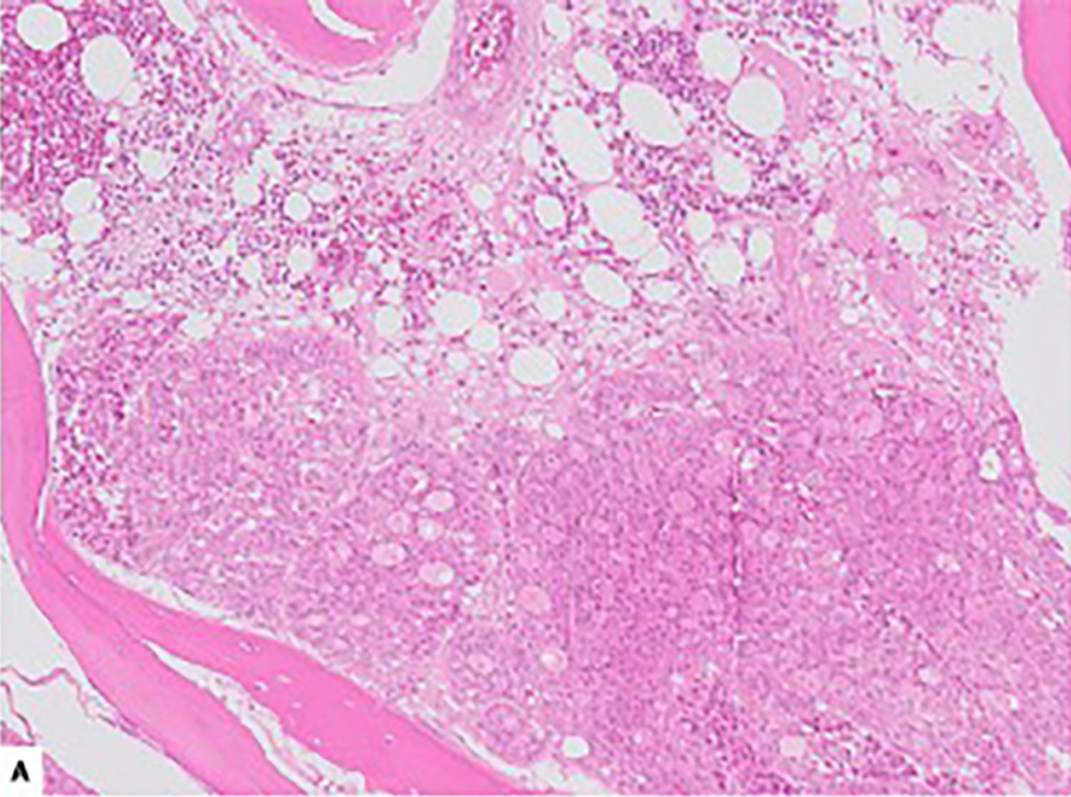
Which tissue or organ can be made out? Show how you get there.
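Bright pink lamellar bony trabeculae border the field. Fat vacuoles and hematopoietic marrow lie between the trabeculae.
Answer: Bone fragment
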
